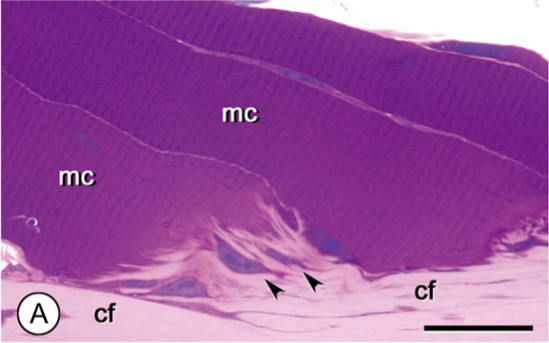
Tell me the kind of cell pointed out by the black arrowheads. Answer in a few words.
Fibroblasts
